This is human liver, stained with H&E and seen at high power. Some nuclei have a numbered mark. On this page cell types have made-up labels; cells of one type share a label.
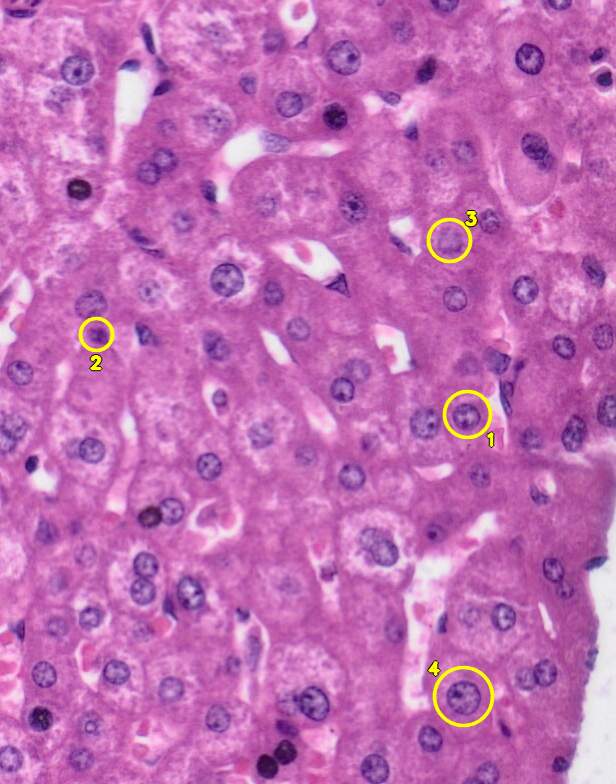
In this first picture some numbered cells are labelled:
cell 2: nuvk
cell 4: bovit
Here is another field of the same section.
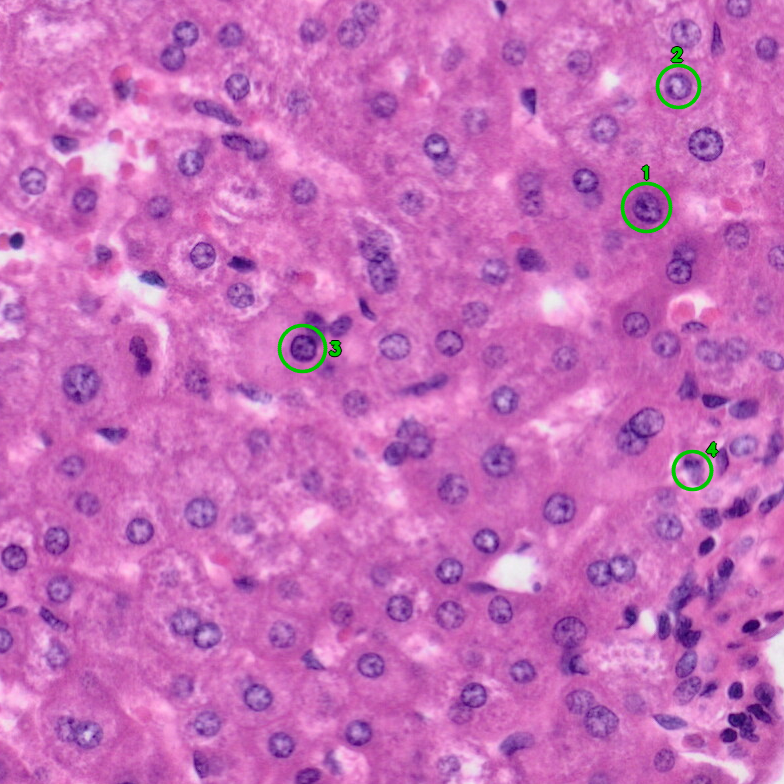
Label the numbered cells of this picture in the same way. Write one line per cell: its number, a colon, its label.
1: bovit
2: bovit
3: bovit
4: nuvk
